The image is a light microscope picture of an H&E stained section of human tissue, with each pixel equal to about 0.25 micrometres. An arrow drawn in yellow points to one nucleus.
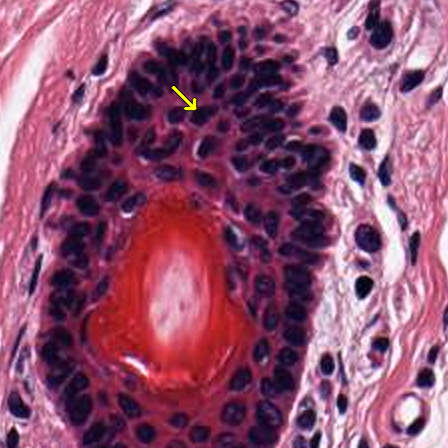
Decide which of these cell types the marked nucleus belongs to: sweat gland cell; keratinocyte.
keratinocyte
